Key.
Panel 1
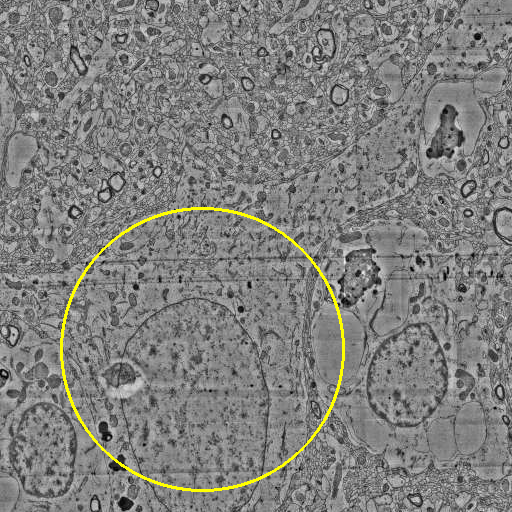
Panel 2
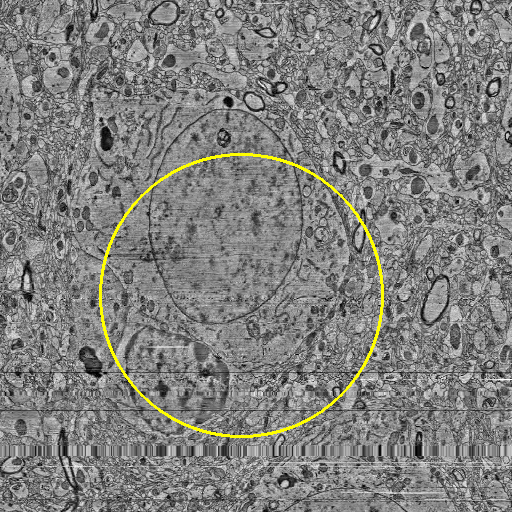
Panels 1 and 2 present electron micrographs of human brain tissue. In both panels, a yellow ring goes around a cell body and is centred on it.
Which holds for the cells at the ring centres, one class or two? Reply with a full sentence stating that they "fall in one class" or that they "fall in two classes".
Taken together, the ring-centre cells of the two panels fall in one class.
